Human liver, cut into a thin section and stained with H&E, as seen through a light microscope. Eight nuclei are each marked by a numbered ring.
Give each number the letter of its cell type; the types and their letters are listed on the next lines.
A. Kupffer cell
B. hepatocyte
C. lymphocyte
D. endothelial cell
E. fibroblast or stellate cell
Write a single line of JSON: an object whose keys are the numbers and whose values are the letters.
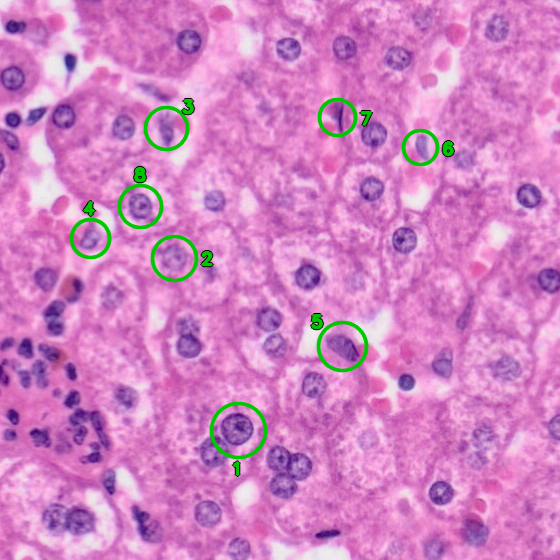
{"1": "B", "2": "B", "3": "A", "4": "A", "5": "A", "6": "D", "7": "D", "8": "B"}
